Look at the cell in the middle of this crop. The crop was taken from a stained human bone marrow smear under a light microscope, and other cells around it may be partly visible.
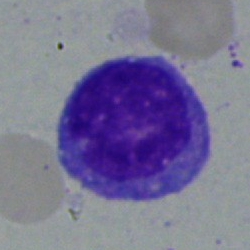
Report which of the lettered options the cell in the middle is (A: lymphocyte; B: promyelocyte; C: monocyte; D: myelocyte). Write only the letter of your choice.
C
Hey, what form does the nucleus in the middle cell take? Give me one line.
Round, oval or kidney-shaped, the nucleus is one compact mass.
